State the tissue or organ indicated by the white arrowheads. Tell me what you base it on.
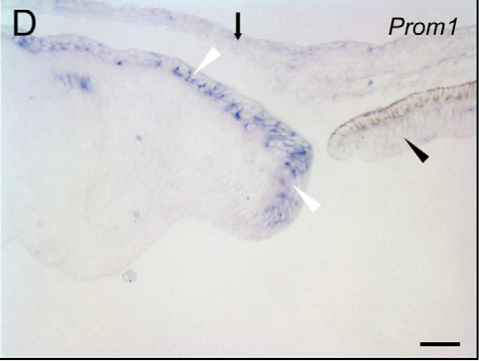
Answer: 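Anterior lens (L) epithelium. Behind this cell row the body is made of pale, unstained tissue.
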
